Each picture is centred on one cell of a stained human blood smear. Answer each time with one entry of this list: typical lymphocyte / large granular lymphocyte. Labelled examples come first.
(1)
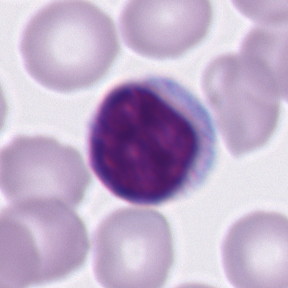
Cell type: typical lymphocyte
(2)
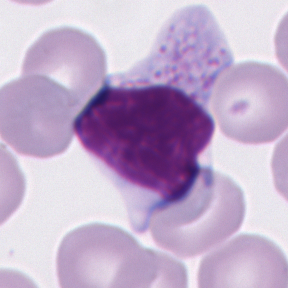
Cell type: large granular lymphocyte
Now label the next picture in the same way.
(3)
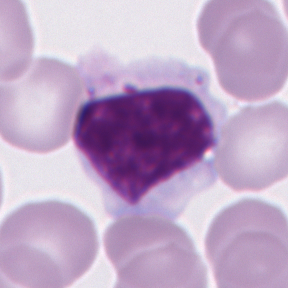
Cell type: large granular lymphocyte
